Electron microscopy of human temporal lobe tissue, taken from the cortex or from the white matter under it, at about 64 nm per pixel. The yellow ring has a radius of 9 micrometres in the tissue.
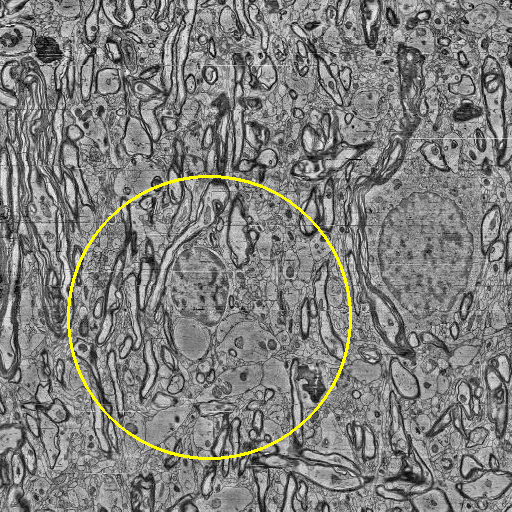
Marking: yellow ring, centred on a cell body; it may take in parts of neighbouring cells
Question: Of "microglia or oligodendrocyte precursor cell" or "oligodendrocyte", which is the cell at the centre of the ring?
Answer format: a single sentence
The ring surrounds the body of a microglial cell or oligodendrocyte precursor cell.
